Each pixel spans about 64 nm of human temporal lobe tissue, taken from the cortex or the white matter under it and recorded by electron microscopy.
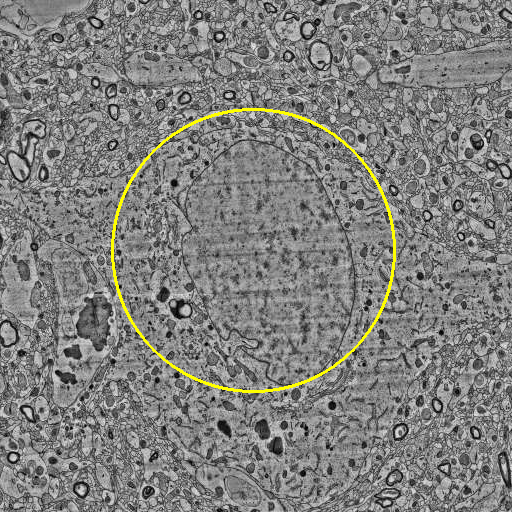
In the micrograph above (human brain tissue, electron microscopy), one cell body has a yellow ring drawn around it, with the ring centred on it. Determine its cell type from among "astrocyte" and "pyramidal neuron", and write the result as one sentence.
The cell whose body is ringed is a pyramidal neuron.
